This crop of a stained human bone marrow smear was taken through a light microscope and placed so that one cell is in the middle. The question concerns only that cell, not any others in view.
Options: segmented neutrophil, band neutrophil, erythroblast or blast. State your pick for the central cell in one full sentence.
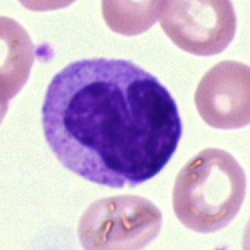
This particular crop is centered on a band neutrophil.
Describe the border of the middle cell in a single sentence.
Expected answer: a smooth cell outline without projections of any sort.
